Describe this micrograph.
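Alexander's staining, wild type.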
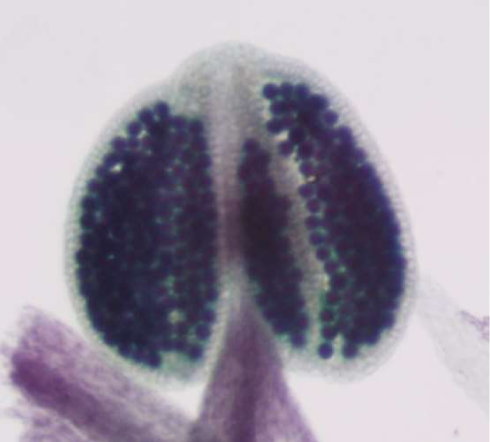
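An anther on a purple-stained filament, its two lobes filled densely with numerous small round pollen grains stained dark purple. The pollen sacs flank a paler central connective, and the thin anther wall around them appears pale bluish-grey.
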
